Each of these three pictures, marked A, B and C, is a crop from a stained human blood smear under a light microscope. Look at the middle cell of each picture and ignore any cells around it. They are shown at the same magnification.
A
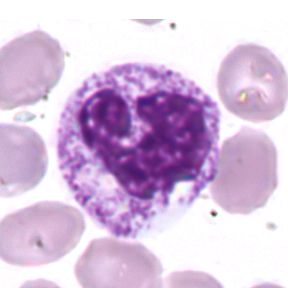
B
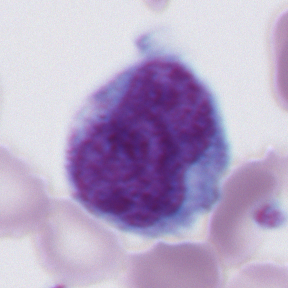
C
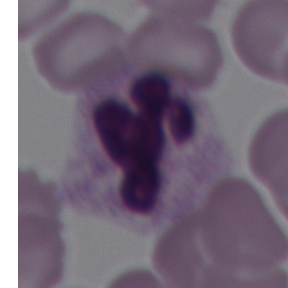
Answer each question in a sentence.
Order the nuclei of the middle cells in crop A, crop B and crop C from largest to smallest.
From the largest down, the order is B, A, C.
